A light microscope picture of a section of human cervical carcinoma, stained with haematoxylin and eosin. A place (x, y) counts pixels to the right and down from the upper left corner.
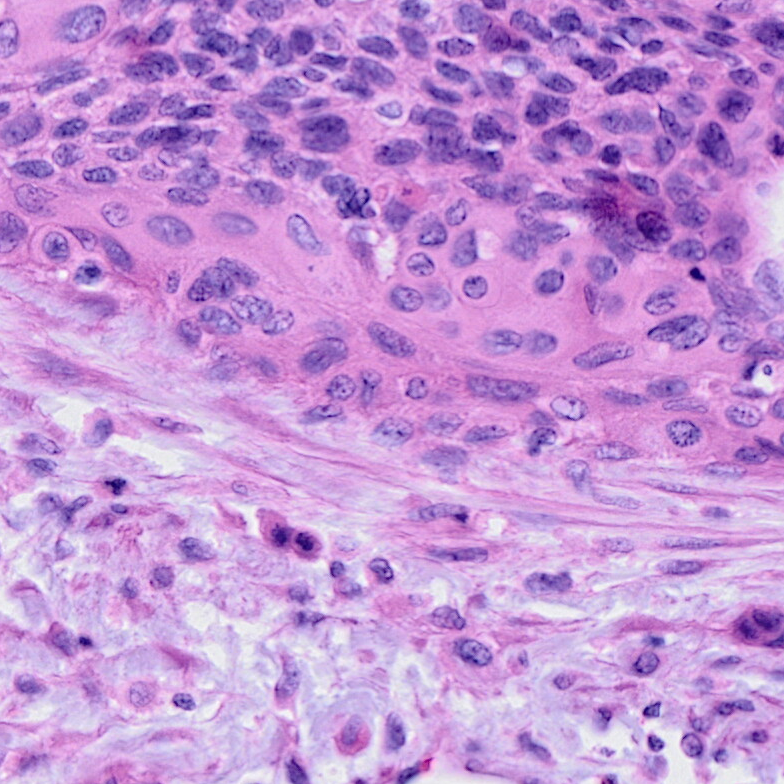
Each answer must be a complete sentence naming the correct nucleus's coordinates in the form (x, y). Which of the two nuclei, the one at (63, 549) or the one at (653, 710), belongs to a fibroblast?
Of the two nuclei, the one at (63, 549) belongs to a fibroblast.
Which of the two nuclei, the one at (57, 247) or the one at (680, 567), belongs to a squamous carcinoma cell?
Between the two nuclei, the one sitting at (57, 247) belongs to a squamous carcinoma cell.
